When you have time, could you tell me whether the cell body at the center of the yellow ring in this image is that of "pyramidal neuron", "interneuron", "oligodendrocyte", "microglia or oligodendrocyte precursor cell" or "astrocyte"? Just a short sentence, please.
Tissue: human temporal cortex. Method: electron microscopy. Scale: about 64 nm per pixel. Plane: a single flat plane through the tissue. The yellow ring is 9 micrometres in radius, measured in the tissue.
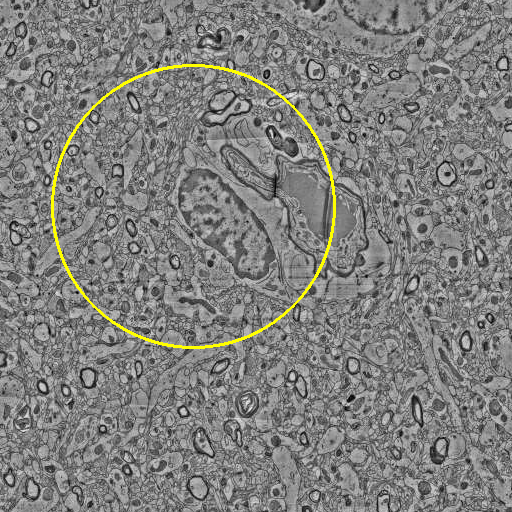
The cell body at the center of the ring is that of a microglial cell or oligodendrocyte precursor cell.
